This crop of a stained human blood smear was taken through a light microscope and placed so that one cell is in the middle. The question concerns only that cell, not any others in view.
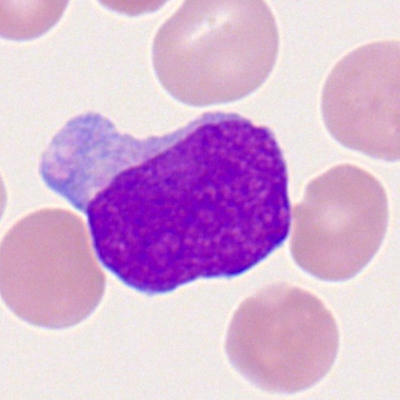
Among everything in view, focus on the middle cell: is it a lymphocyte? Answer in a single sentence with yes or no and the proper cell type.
No, not a lymphocyte but a blast is the cell in the centre.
